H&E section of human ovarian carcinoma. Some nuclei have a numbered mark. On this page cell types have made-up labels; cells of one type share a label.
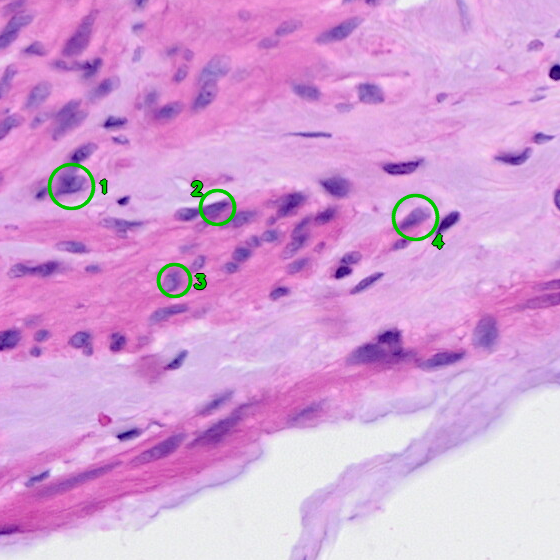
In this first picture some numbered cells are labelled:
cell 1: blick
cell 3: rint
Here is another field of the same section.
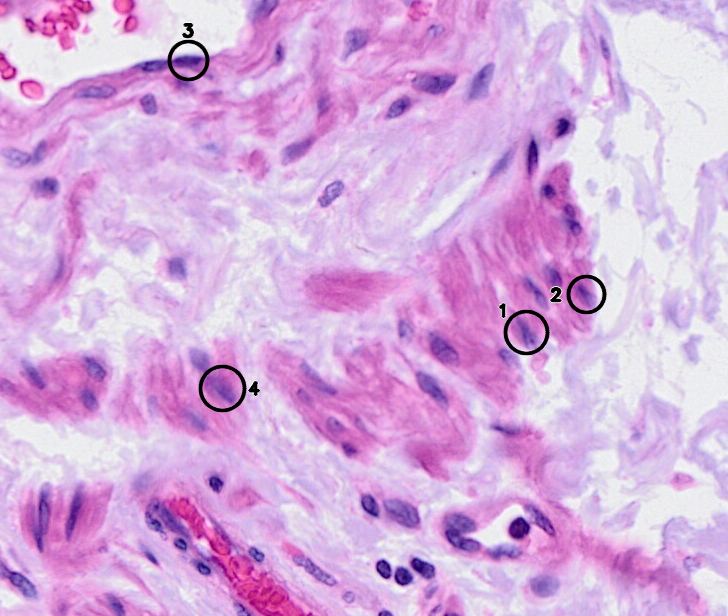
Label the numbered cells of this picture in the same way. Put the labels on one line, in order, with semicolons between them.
rint; rint; blick; rint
